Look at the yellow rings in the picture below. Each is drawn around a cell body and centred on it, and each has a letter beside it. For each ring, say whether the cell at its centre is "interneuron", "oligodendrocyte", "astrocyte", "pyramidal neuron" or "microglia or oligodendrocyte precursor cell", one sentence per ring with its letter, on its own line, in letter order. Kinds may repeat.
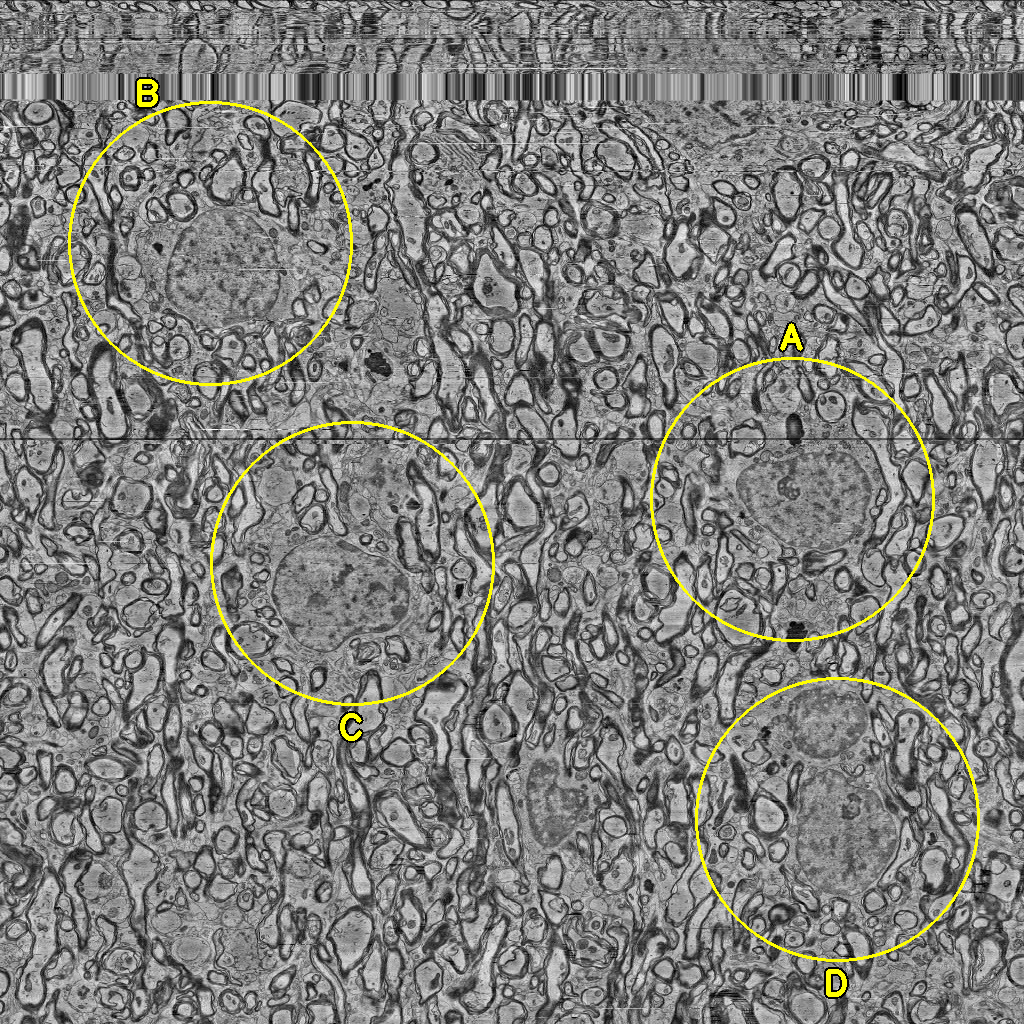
The centred cell of ring A is an oligodendrocyte.
The centred cell of ring B is an oligodendrocyte.
The centred cell of ring C is a microglial cell or oligodendrocyte precursor cell.
The centred cell of ring D is an oligodendrocyte.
